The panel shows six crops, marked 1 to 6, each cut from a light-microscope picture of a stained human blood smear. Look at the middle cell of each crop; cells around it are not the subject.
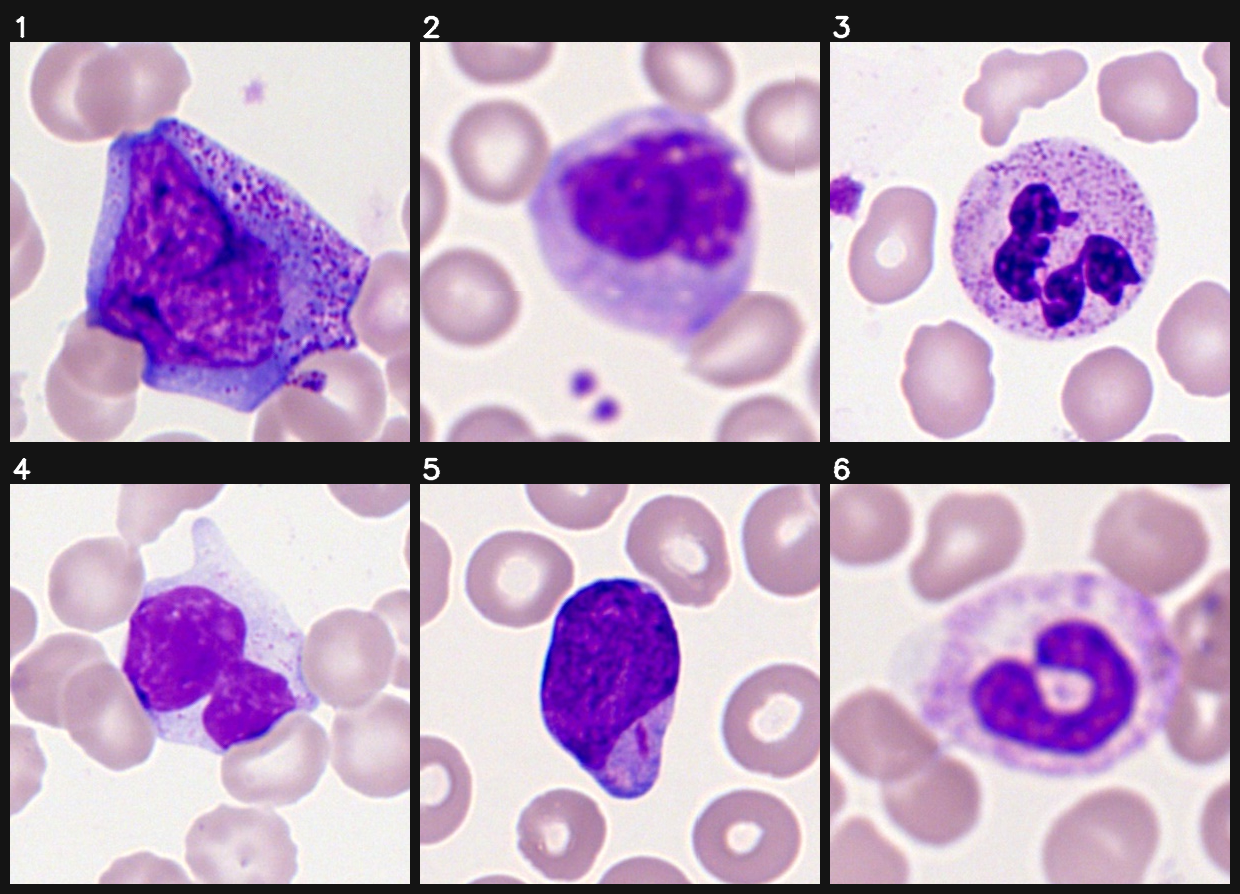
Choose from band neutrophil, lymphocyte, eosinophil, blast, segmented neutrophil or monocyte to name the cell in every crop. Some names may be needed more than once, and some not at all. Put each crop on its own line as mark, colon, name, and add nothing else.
1: blast
2: monocyte
3: segmented neutrophil
4: lymphocyte
5: blast
6: band neutrophil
